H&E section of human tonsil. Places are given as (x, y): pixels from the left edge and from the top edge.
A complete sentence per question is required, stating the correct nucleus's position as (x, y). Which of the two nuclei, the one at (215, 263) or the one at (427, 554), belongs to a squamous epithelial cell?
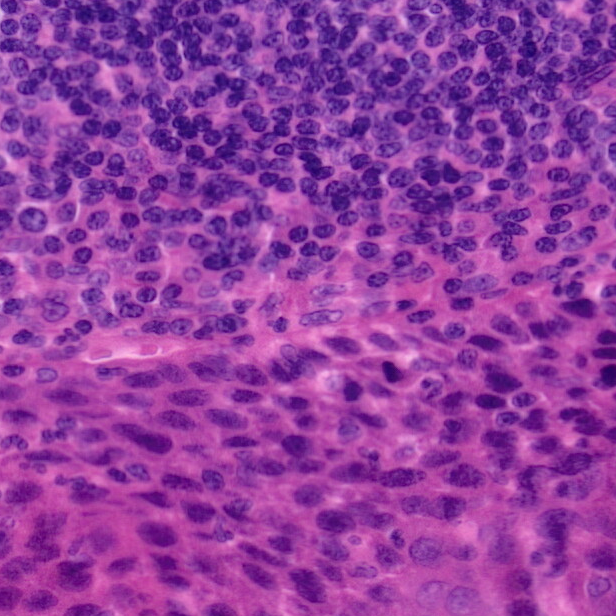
Of the two nuclei present, the one at (427, 554) is within a squamous epithelial cell.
